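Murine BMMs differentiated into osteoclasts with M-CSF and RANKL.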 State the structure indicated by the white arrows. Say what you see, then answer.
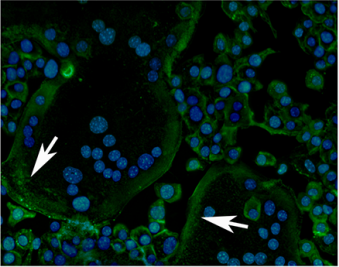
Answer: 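Actin belts with "scattered" podosomes. The edges of large cells show broad, diffuse, dotted green bands. No sharp continuous green line outlines these cells.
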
